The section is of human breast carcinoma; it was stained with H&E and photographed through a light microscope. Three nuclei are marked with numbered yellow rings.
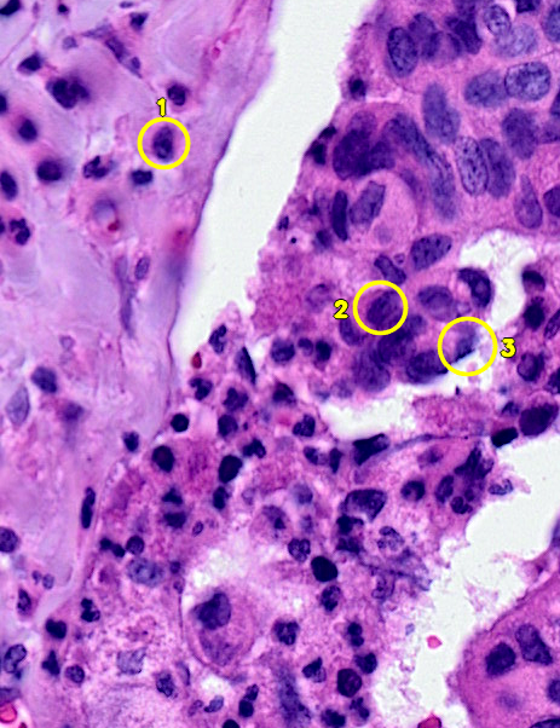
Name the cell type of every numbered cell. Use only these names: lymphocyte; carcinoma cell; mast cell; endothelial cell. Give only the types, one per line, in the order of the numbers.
mast cell
carcinoma cell
carcinoma cell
